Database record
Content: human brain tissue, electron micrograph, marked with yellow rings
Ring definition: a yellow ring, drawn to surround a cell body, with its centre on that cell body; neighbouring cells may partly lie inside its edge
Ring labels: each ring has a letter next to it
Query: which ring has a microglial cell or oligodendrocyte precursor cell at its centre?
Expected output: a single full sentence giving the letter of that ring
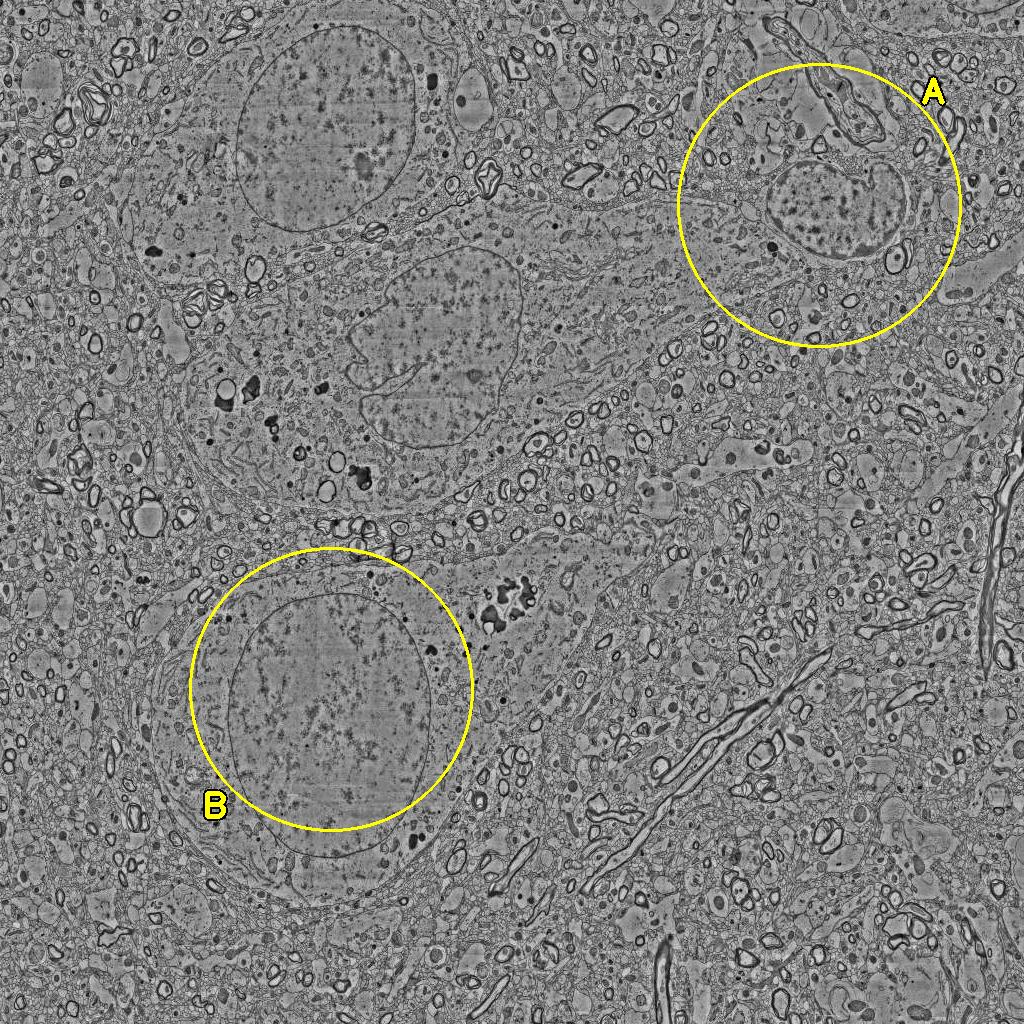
In the picture, the cell being queried lies at the centre of ring A.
